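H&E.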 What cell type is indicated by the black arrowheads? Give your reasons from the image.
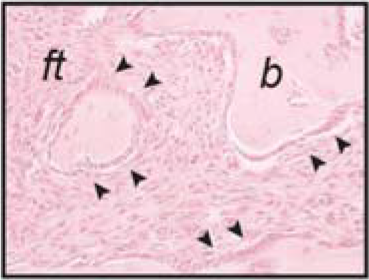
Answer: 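Osteoblasts. The marked cells sit in a row along the edge of the bone matrix.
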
